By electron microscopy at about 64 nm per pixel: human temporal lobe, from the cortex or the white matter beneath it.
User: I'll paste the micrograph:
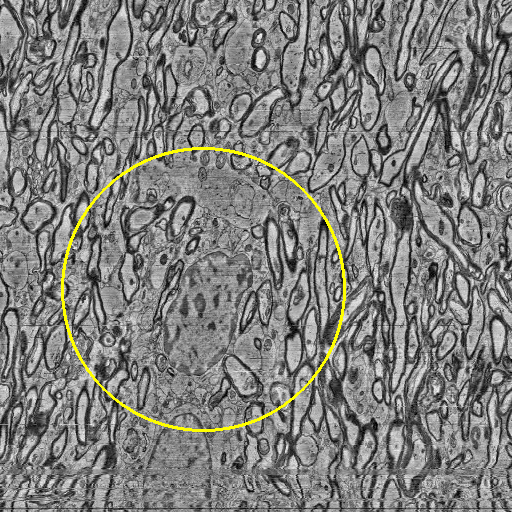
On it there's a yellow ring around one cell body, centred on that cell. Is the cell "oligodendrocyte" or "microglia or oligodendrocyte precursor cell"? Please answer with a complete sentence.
The cell ringed in yellow is a microglial cell or oligodendrocyte precursor cell.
